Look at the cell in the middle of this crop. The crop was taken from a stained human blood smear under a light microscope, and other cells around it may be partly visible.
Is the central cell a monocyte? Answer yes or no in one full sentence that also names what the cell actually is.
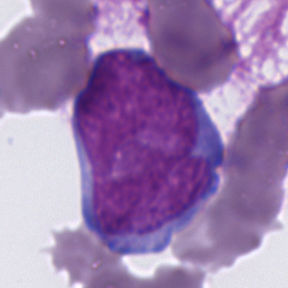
No, the central cell is identified not as a monocyte but as a myeloblast.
